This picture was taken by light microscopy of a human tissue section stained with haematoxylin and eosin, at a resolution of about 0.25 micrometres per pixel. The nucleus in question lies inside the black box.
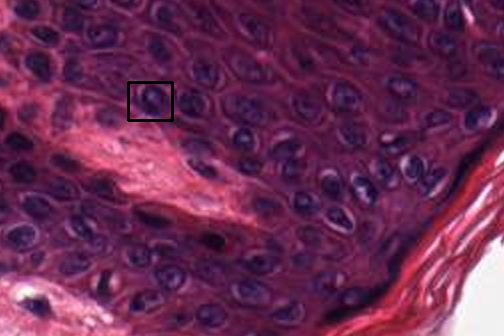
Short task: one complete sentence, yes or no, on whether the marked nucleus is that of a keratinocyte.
Yes, the marked nucleus is recognised as belonging to a keratinocyte.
